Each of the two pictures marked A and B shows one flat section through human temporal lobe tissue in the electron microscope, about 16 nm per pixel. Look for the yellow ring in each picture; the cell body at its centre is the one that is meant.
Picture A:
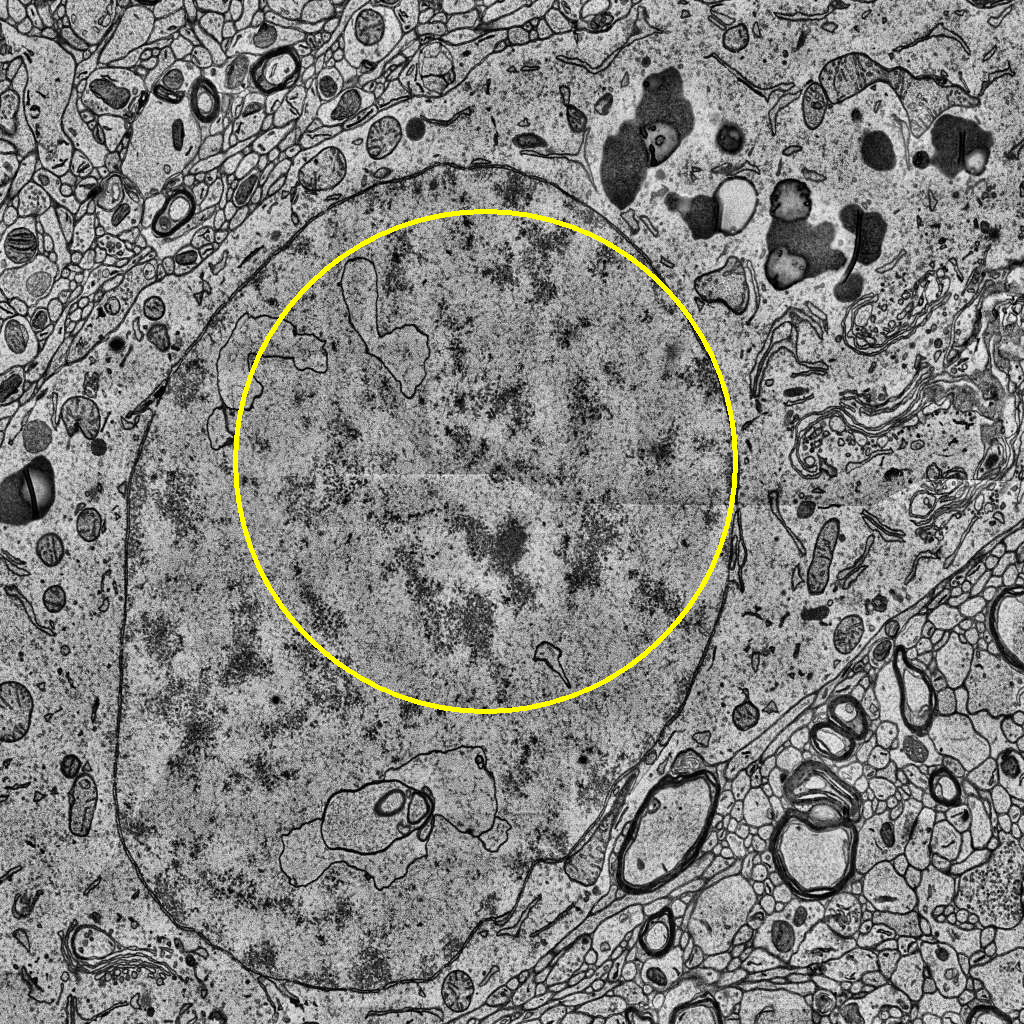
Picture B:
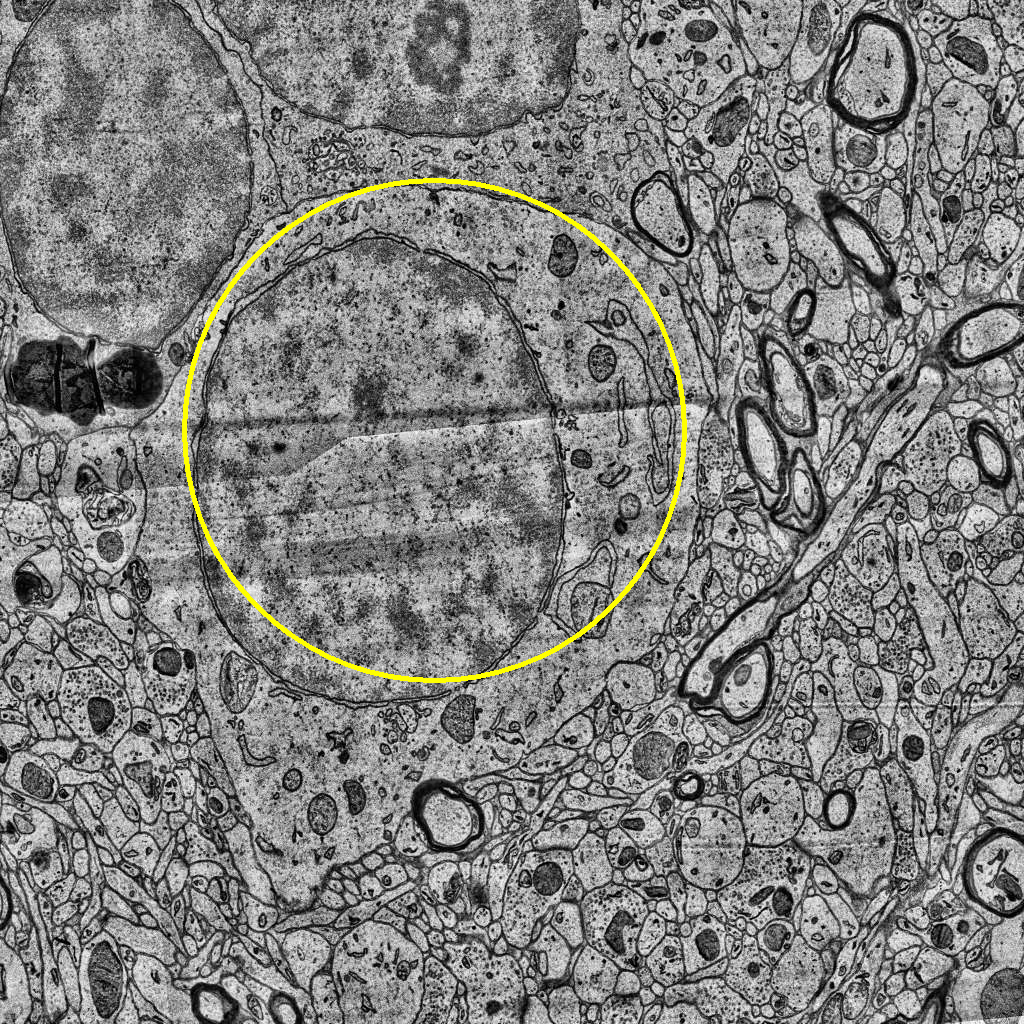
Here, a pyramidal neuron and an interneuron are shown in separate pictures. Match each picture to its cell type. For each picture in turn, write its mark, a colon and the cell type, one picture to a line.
A: pyramidal neuron
B: interneuron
